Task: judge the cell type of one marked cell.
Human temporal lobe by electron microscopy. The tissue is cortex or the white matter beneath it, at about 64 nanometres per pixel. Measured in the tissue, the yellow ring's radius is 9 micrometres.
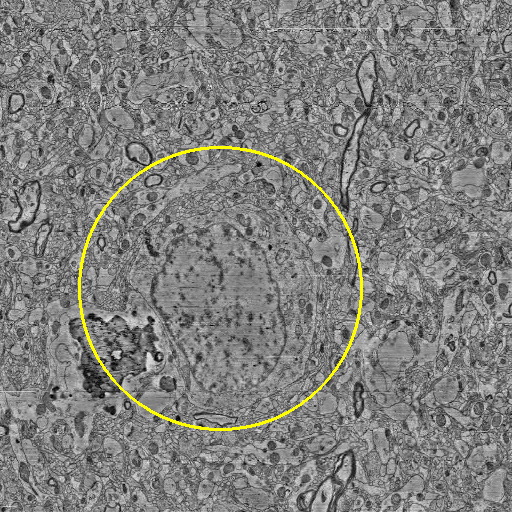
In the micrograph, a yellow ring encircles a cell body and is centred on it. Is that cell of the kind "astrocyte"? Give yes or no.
no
